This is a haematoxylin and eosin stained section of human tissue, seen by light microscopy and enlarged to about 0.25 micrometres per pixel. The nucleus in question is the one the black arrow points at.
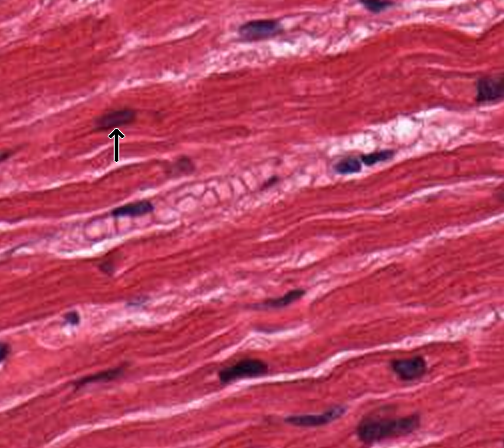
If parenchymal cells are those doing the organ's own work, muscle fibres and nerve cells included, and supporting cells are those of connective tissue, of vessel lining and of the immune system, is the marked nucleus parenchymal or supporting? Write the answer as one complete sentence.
The parenchymal cell to which the marked nucleus belongs is a cardiomyocyte.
